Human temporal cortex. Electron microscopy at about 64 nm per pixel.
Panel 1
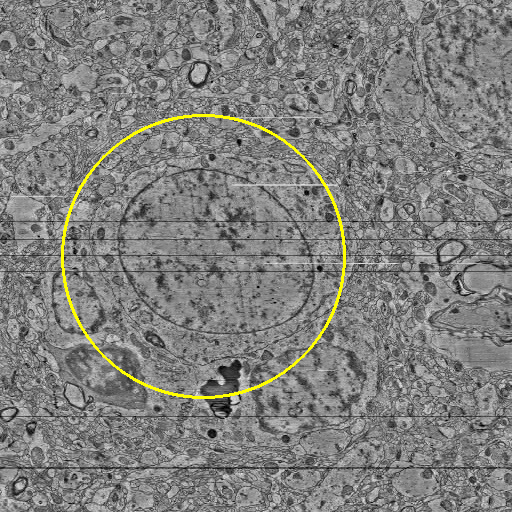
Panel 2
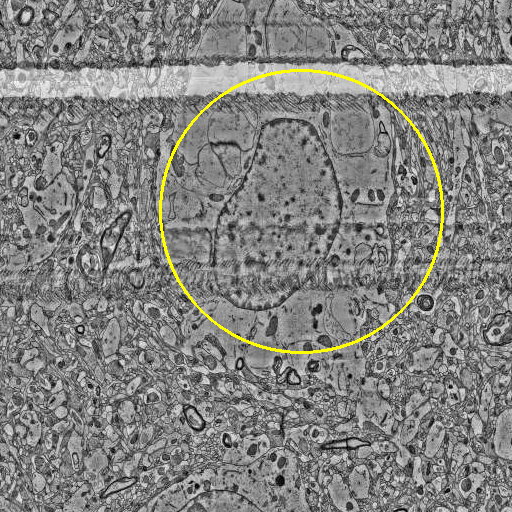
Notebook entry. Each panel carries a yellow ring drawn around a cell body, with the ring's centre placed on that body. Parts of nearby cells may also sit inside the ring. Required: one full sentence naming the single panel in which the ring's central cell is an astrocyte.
Panel 2 is the single one with the sought cell at its ring's centre.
